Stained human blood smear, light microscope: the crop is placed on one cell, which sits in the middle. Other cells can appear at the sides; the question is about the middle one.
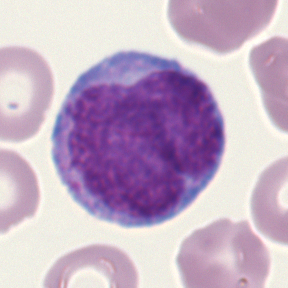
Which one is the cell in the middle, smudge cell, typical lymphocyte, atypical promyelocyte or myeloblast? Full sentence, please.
Of the cells in this crop, the central one is an atypical promyelocyte.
